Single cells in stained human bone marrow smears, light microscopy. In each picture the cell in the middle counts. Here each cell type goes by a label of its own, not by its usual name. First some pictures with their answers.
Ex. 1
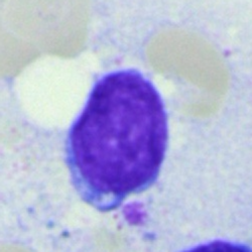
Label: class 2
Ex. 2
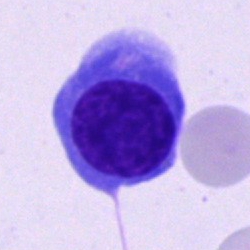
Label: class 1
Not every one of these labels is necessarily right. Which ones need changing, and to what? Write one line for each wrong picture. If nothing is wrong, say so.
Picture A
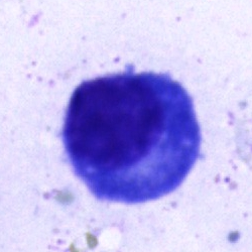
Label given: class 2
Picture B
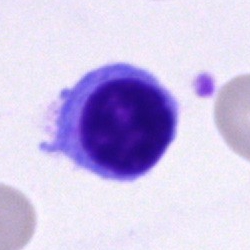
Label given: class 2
Wrong: A (class 2); correct: class 1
